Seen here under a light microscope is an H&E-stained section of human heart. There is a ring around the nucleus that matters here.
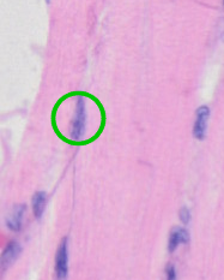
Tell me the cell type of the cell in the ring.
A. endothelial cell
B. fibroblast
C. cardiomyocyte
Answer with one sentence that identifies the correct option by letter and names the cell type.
Option B is correct; the cell in the ring is a fibroblast.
